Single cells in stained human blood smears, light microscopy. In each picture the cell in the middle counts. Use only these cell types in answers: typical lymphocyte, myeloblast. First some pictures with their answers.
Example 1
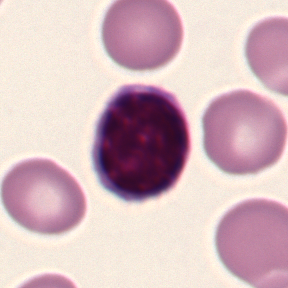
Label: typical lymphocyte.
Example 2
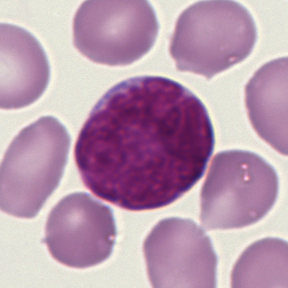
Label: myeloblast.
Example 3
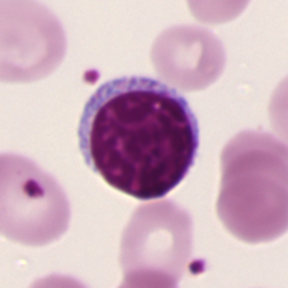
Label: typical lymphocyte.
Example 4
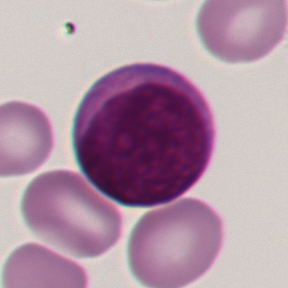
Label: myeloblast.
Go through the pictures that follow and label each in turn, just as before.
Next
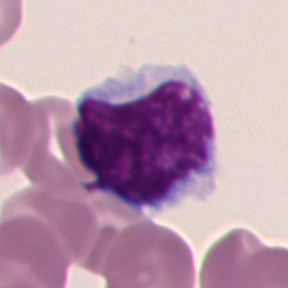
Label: typical lymphocyte.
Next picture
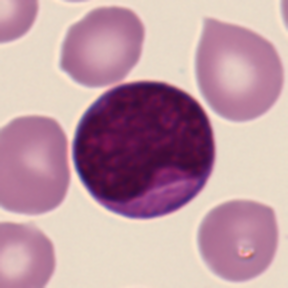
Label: myeloblast.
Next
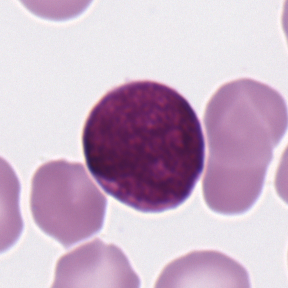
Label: myeloblast.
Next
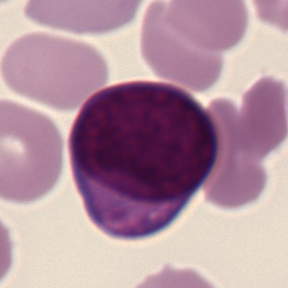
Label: myeloblast.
